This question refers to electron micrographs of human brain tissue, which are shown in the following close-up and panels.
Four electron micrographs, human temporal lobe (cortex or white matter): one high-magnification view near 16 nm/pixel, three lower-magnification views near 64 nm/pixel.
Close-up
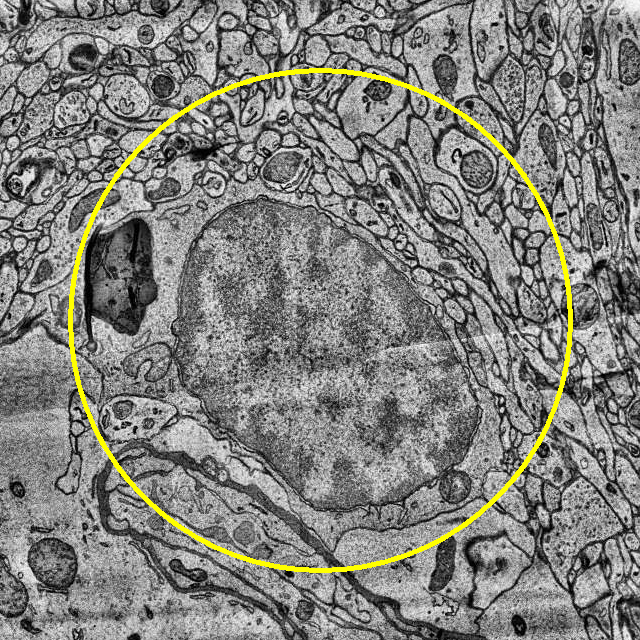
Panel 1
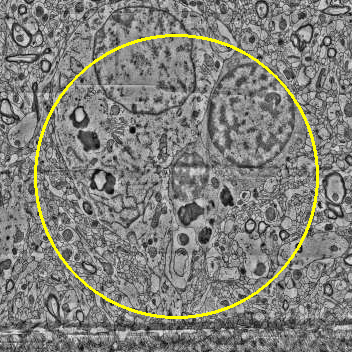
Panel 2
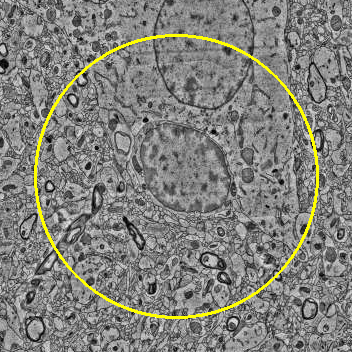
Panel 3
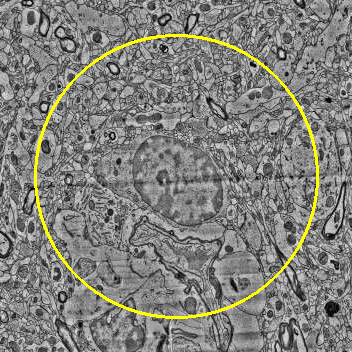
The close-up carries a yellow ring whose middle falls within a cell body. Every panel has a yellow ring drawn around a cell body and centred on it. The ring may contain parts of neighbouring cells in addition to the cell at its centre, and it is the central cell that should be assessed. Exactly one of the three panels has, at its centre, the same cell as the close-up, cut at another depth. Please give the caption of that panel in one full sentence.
The close-up represents the cell enclosed by the ring in Panel 3.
